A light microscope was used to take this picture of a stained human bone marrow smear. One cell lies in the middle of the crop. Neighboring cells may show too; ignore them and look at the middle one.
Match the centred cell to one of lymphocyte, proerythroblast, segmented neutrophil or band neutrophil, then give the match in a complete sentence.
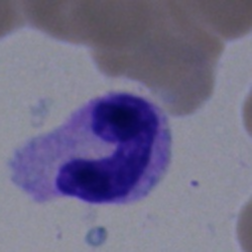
The central element of this crop is a cell, namely a band neutrophil.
